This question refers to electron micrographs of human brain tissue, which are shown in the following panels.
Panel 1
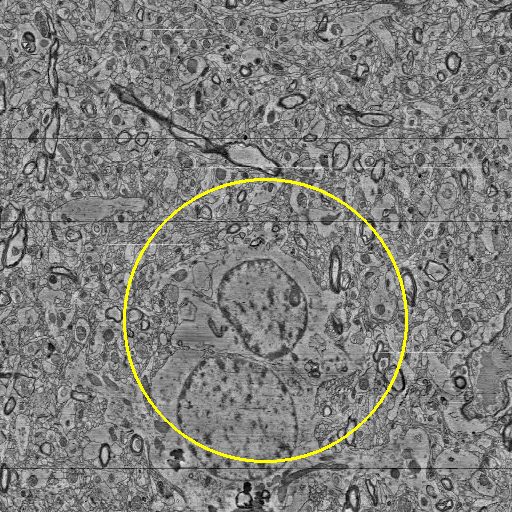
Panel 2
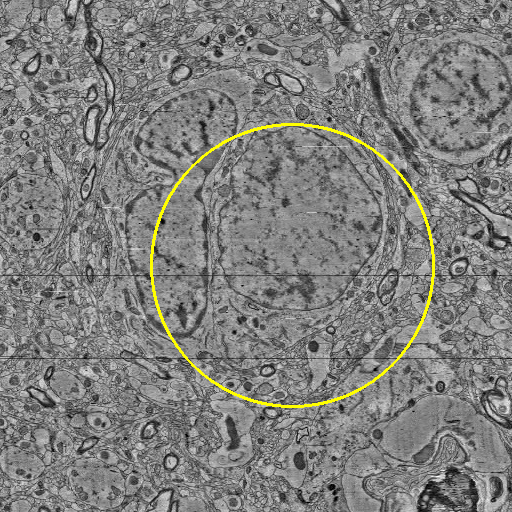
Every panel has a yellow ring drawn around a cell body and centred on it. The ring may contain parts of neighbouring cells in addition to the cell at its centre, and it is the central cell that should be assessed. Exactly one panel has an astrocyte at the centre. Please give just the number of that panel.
1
